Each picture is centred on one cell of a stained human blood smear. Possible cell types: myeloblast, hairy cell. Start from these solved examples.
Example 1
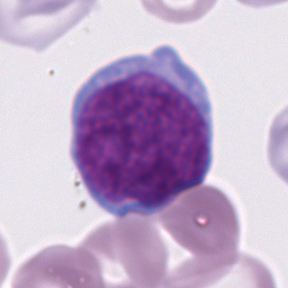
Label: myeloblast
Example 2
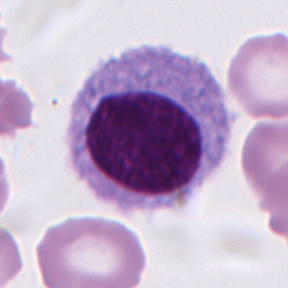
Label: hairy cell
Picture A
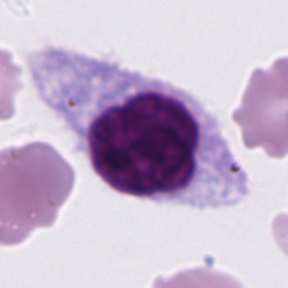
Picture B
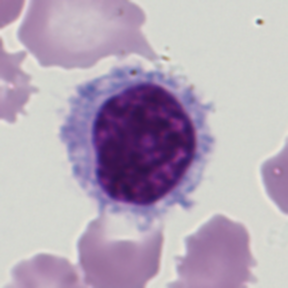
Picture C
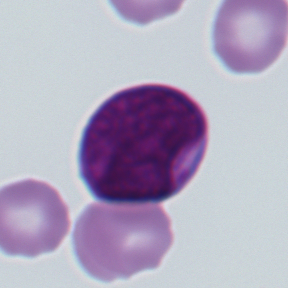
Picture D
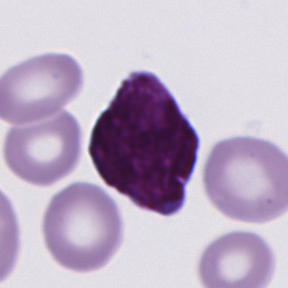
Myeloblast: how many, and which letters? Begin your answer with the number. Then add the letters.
Count: 2 (C, D)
